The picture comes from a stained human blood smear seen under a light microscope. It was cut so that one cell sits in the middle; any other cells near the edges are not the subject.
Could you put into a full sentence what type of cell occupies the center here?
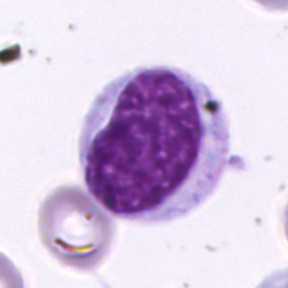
The central cell in this smear crop is a metamyelocyte.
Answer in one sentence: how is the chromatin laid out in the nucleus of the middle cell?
The chromatin is delicate and fine, lacking coarse clumping entirely.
